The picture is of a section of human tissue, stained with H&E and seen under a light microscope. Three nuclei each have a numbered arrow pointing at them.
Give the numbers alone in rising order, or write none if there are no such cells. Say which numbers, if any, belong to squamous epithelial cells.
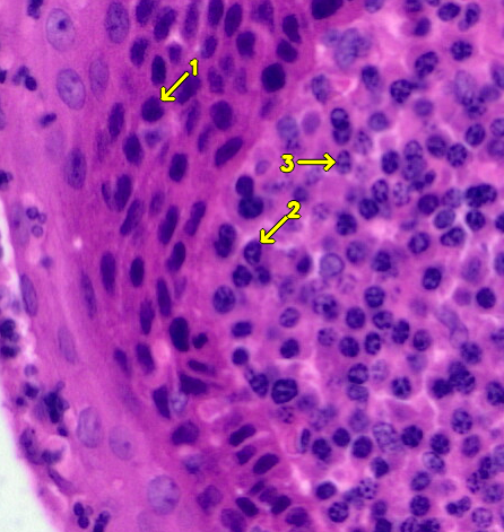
1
